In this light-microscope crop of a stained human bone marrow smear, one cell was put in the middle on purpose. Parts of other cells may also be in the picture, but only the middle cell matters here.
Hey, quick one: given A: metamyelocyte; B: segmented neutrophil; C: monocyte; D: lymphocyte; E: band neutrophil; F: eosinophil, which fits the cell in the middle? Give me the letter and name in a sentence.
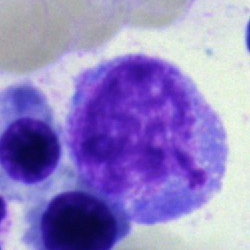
The cell right in the middle is a monocyte, so option C is the one.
